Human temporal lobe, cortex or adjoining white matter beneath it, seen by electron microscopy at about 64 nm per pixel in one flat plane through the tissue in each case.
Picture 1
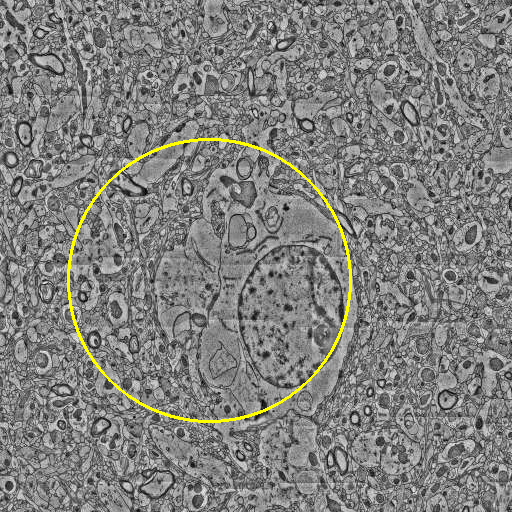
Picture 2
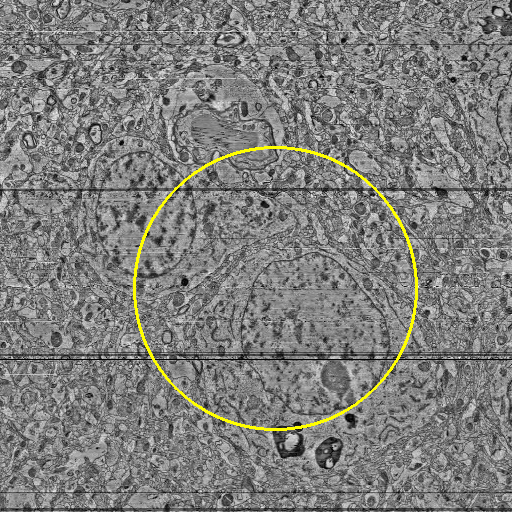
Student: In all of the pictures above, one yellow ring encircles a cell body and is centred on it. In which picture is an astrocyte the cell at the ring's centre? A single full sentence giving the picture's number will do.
Picture number 1 has the wanted cell right at the centre of its ring.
